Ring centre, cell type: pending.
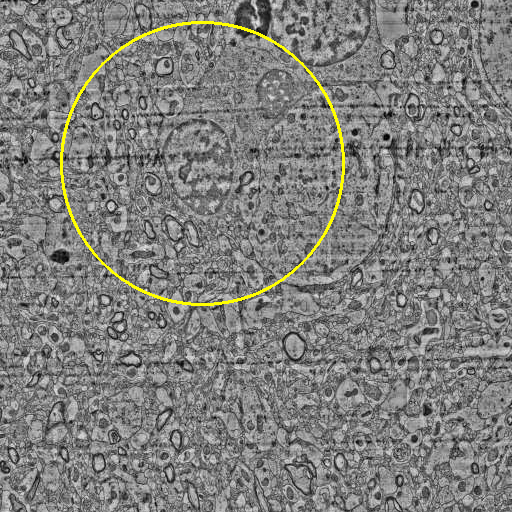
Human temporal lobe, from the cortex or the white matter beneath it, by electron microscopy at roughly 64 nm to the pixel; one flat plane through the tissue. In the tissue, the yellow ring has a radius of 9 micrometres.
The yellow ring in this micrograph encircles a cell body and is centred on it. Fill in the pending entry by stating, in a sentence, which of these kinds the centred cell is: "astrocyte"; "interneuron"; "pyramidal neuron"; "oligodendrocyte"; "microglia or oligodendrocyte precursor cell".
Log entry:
The centred cell is recorded as an oligodendrocyte.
